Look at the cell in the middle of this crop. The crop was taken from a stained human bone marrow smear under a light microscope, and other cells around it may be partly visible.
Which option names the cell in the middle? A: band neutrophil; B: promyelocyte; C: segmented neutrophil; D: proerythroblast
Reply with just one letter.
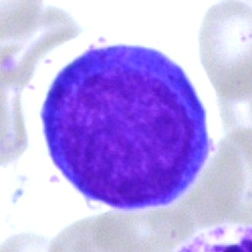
D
